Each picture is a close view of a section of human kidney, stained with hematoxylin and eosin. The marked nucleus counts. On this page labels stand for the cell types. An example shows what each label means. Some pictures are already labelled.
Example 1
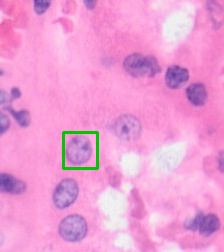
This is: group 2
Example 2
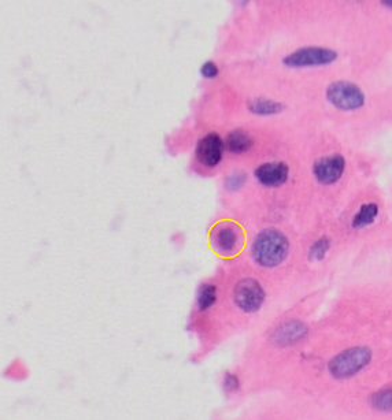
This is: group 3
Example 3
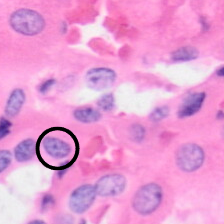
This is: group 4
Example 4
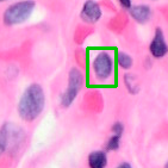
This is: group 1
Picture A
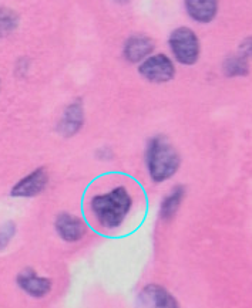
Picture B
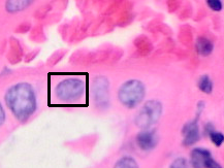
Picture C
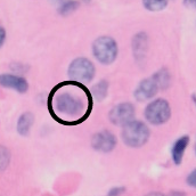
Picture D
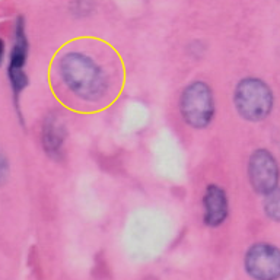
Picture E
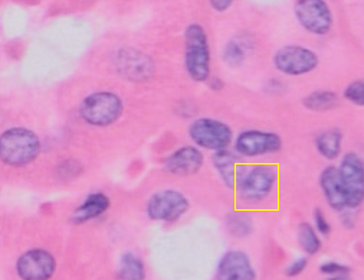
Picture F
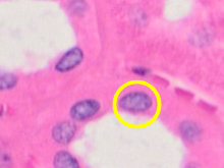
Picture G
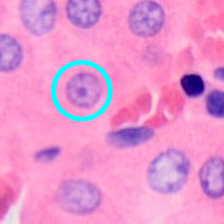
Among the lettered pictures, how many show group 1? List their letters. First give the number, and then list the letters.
0, none of them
